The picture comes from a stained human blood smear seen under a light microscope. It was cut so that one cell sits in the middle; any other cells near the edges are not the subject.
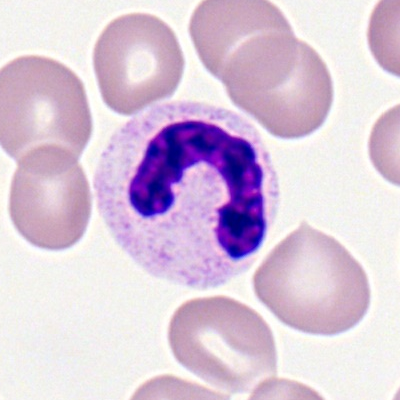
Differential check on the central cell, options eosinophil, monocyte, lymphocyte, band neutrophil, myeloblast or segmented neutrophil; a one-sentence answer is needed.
At the center of the crop sits a band neutrophil.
